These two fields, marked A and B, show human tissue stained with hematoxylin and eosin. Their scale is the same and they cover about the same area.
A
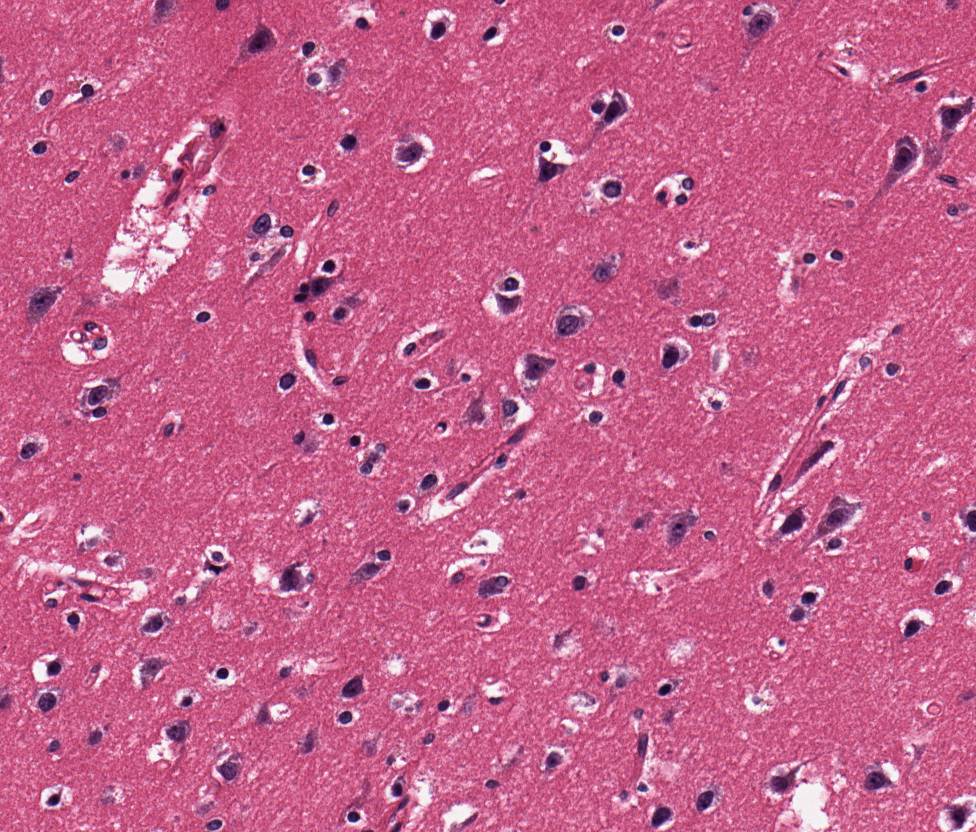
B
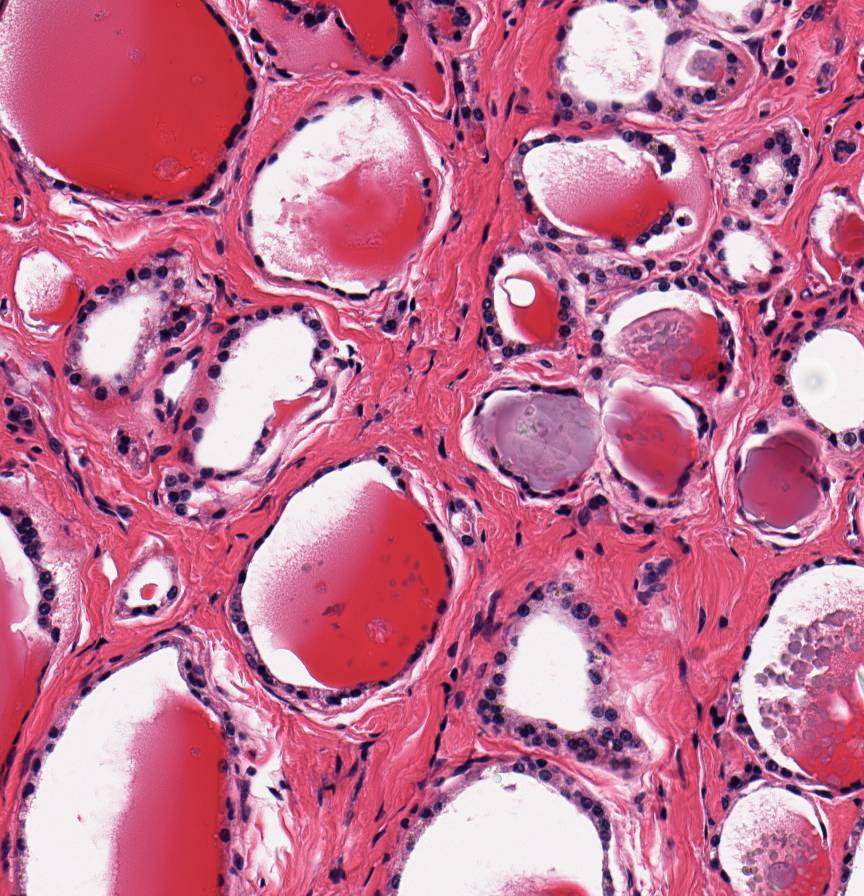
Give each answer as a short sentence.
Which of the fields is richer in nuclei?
There are more nuclei in picture B.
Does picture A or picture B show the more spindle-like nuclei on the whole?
The nuclei are more elongated in picture B.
